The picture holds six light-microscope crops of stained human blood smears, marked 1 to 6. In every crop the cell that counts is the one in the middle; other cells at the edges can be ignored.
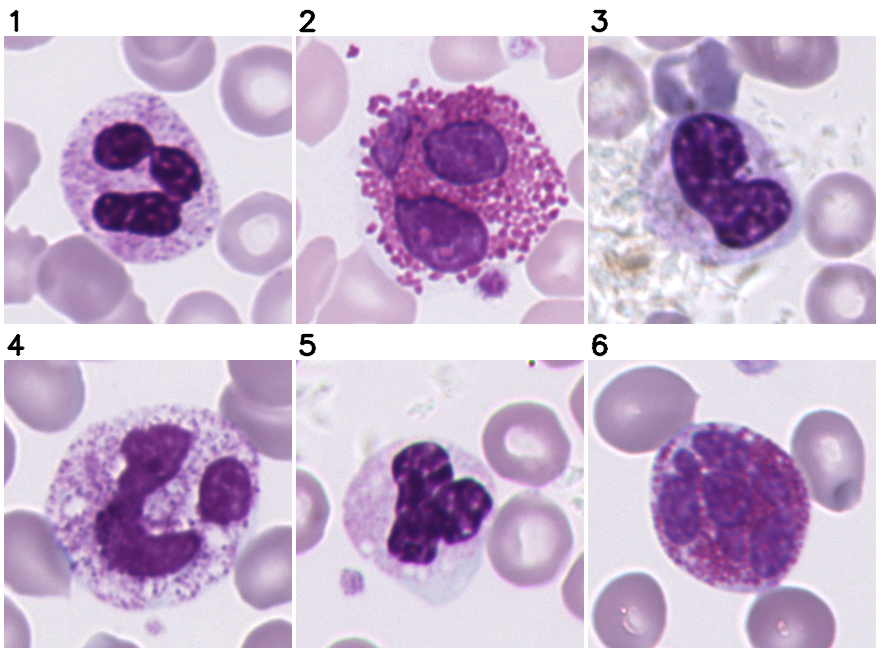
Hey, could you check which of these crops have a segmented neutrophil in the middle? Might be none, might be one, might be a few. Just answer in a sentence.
Classified as segmented neutrophils are the central cells of crops 1, 4 and 5.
